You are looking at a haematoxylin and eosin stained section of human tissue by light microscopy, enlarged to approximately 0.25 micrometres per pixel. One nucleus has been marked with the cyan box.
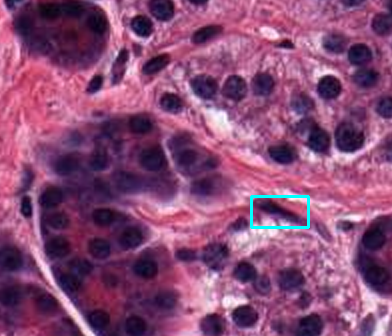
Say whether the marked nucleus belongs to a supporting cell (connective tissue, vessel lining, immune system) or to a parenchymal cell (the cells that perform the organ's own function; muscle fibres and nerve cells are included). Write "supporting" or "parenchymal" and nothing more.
supporting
